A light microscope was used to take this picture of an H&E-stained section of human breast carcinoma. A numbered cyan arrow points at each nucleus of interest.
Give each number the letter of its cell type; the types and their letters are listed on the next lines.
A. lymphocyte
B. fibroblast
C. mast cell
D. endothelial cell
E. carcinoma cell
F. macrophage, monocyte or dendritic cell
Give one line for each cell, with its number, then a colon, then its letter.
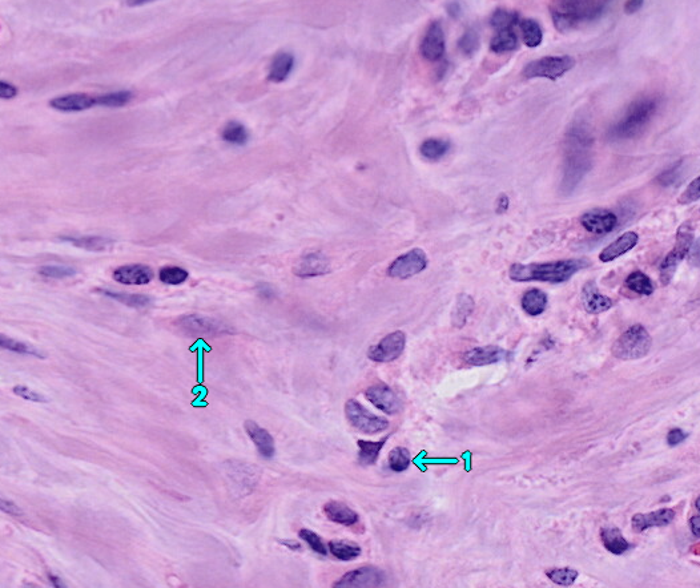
1: A
2: B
